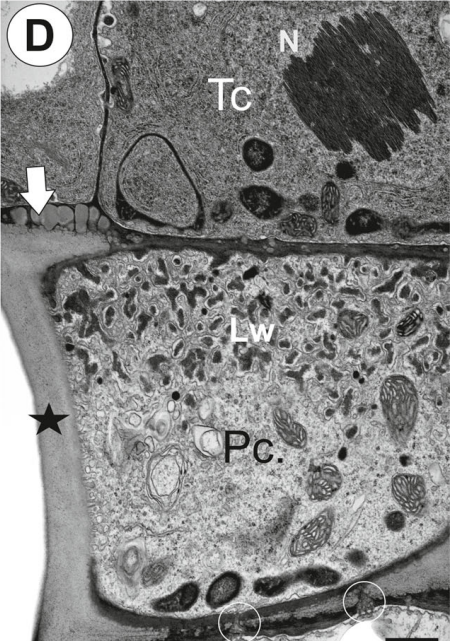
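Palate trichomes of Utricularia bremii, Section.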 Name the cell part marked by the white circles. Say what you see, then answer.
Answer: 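Plasmodesmata. The circles enclose thin channels crossing the wall at the bottom of the lower cell.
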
